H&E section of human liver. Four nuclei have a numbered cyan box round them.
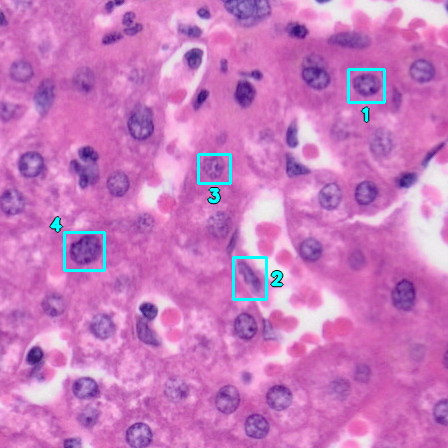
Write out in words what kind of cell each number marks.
Cell 1 is a hepatocyte, cell 2 is a Kupffer cell, cell 3 is a hepatocyte and cell 4 is a hepatocyte.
